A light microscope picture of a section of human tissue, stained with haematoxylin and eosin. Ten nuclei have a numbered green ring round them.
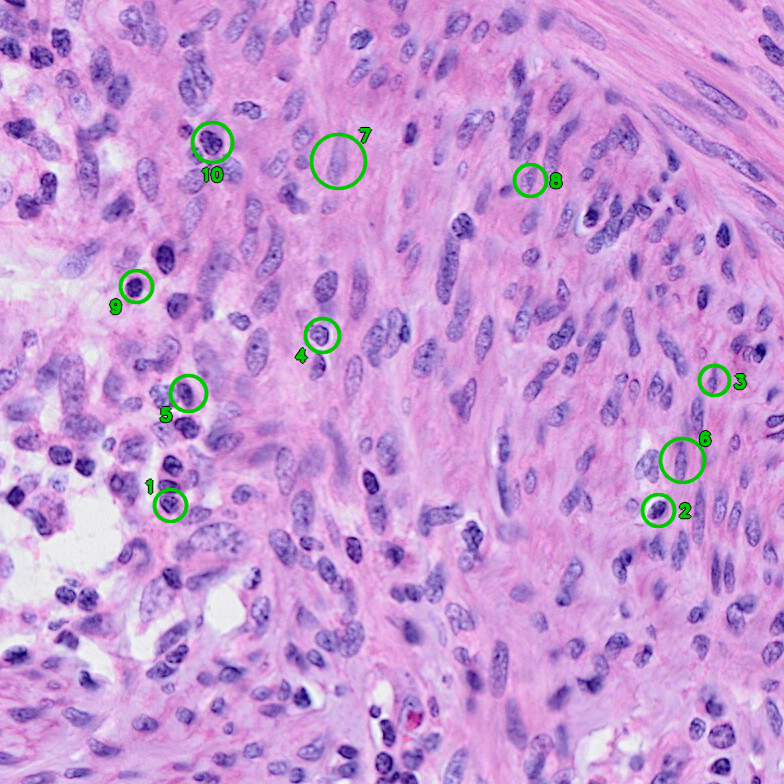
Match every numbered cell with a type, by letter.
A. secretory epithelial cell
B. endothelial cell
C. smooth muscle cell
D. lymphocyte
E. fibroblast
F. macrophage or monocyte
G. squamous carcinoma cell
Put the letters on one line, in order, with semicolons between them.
D; D; C; D; D; C; C; C; D; D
